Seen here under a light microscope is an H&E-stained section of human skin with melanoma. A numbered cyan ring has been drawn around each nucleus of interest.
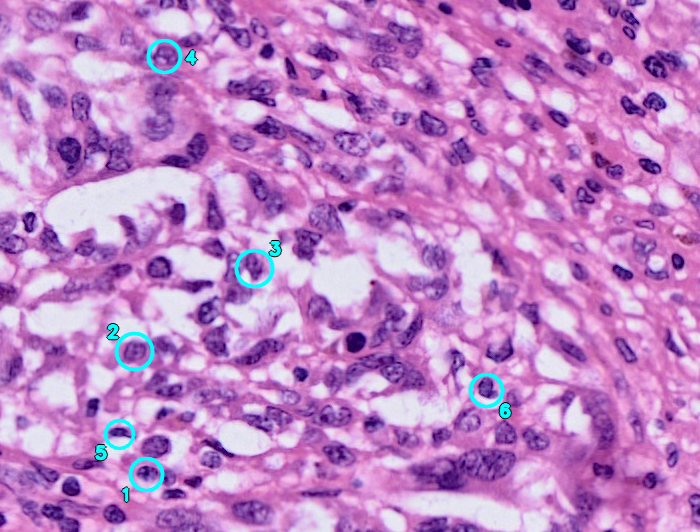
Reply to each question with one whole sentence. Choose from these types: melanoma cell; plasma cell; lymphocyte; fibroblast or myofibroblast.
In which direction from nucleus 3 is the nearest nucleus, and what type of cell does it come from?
The closest nucleus belongs to a melanoma cell and sits to the left of nucleus 3.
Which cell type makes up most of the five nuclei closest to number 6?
Melanoma cells account for more than half of the five nuclei nearest to number 6.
